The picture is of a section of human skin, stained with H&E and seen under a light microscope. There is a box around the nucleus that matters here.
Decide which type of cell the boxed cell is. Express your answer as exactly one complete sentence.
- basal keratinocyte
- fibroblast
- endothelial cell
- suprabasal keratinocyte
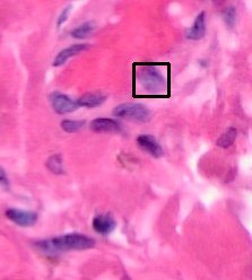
It is as an endothelial cell that the boxed cell is recorded.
